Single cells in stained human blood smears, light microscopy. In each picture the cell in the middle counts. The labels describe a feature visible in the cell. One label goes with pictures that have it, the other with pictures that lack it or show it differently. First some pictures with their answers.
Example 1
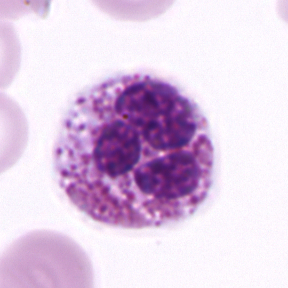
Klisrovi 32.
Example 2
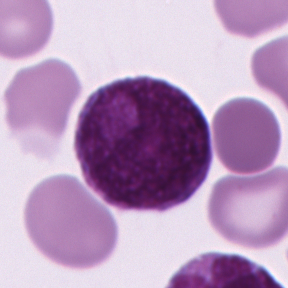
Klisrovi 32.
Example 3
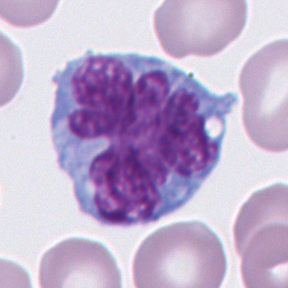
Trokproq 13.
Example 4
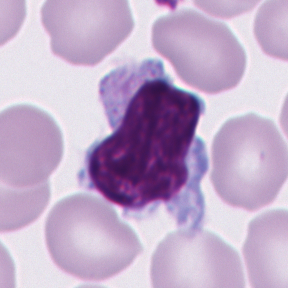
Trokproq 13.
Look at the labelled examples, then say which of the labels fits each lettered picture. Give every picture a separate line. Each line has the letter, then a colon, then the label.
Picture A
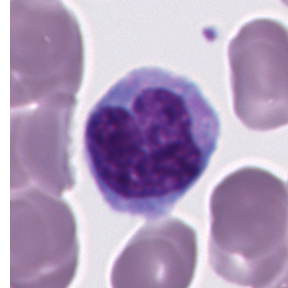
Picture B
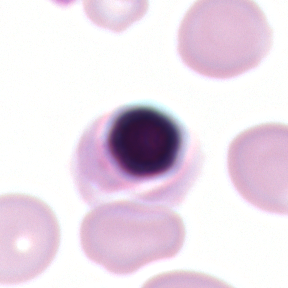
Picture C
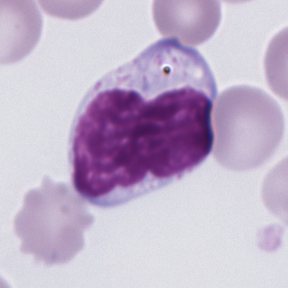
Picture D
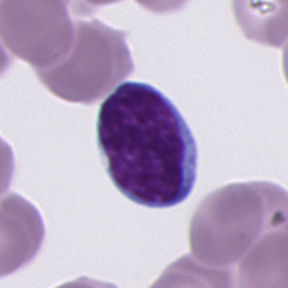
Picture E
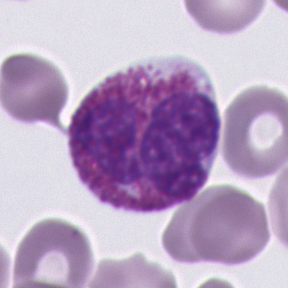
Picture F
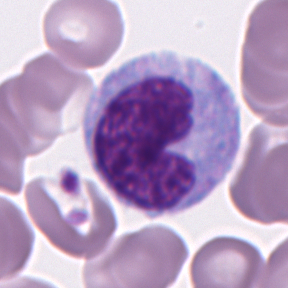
A: Klisrovi 32.
B: Klisrovi 32.
C: Klisrovi 32.
D: Klisrovi 32.
E: Klisrovi 32.
F: Klisrovi 32.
